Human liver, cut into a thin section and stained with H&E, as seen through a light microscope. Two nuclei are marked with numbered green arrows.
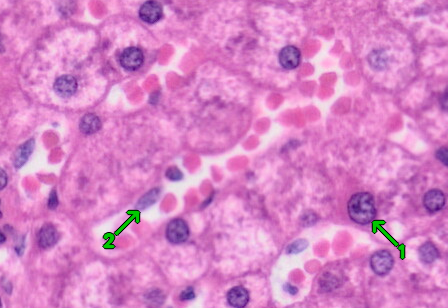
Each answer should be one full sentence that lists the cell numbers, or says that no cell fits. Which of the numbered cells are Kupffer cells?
Being a Kupffer cell is true of cell 2 and of no other numbered cell.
